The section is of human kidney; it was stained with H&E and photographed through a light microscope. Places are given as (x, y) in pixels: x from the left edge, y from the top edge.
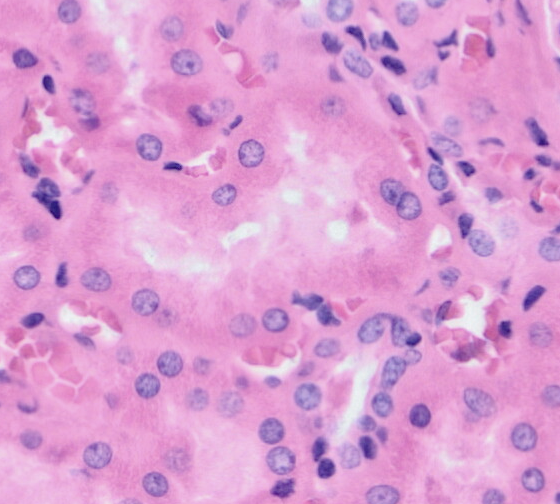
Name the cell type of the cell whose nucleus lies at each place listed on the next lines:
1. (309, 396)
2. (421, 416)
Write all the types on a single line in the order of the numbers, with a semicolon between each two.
collecting duct cell; proximal tubule cell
